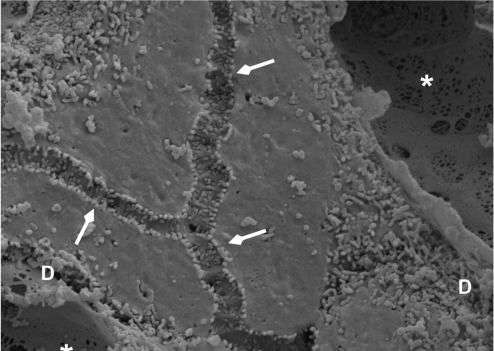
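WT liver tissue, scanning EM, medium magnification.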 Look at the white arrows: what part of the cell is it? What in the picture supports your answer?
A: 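Canalicular microvilli. The arrows point to narrow bands packed with short finger-like projections. The bands run along the junctions between two smooth cell surfaces.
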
